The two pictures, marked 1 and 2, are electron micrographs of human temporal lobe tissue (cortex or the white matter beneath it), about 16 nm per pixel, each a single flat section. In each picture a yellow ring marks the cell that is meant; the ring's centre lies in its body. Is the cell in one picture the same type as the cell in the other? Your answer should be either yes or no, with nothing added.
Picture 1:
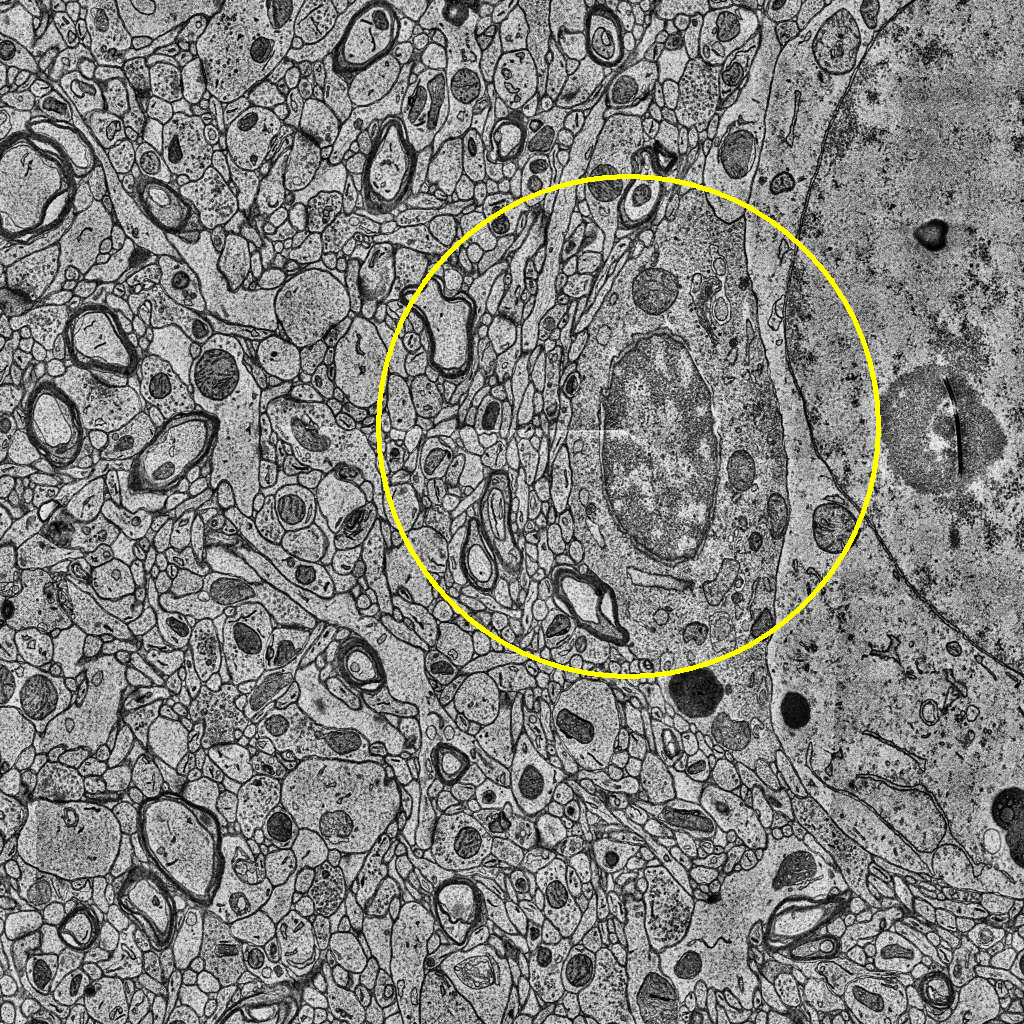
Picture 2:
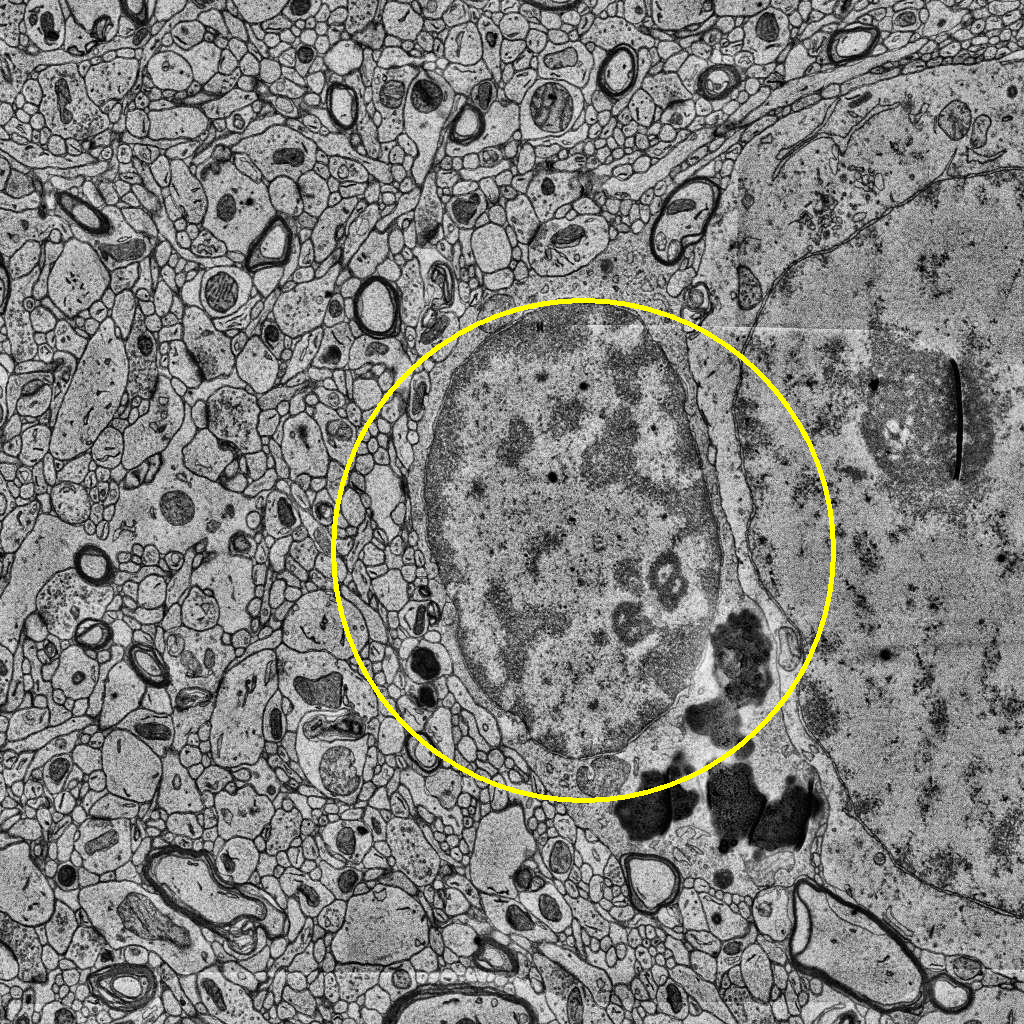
yes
